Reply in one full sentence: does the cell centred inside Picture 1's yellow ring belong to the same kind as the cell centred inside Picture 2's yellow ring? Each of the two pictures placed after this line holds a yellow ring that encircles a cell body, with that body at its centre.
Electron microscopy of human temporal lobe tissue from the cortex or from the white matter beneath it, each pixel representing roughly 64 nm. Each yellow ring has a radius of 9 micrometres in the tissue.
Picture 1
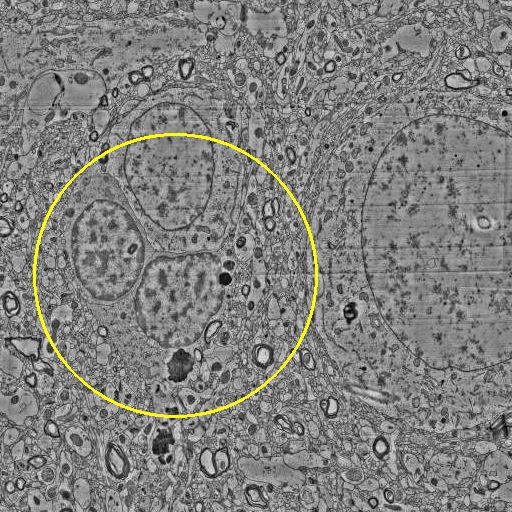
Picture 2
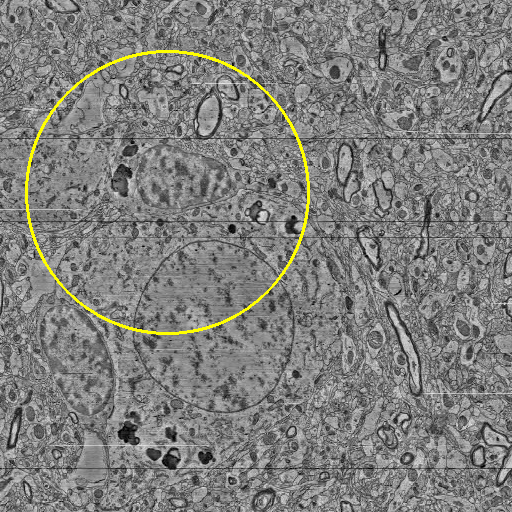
Yes, the ring-centred cells in Picture 1 and Picture 2 are of one and the same kind.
